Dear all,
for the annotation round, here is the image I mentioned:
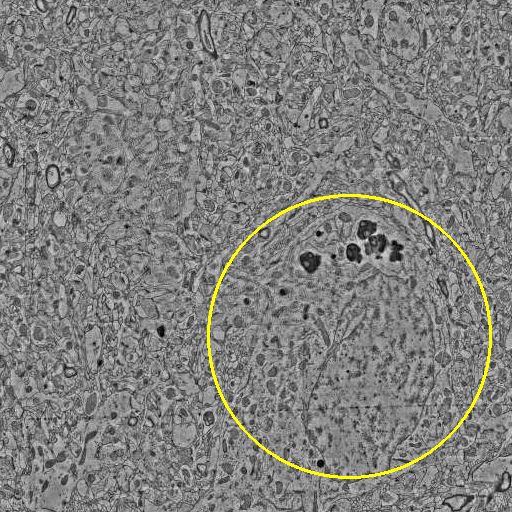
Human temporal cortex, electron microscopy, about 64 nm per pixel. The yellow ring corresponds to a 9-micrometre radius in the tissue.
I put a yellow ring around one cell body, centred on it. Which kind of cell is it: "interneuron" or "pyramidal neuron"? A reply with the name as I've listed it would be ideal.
interneuron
